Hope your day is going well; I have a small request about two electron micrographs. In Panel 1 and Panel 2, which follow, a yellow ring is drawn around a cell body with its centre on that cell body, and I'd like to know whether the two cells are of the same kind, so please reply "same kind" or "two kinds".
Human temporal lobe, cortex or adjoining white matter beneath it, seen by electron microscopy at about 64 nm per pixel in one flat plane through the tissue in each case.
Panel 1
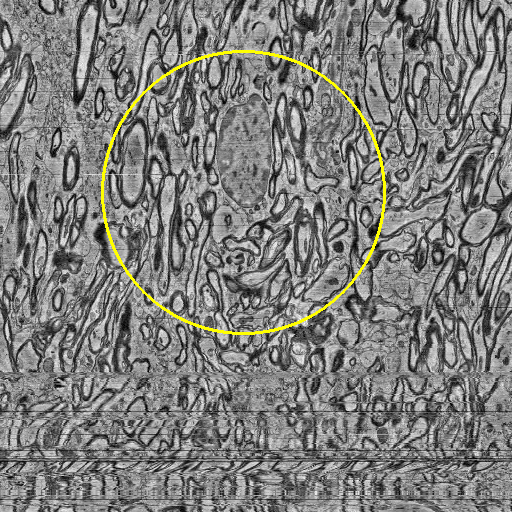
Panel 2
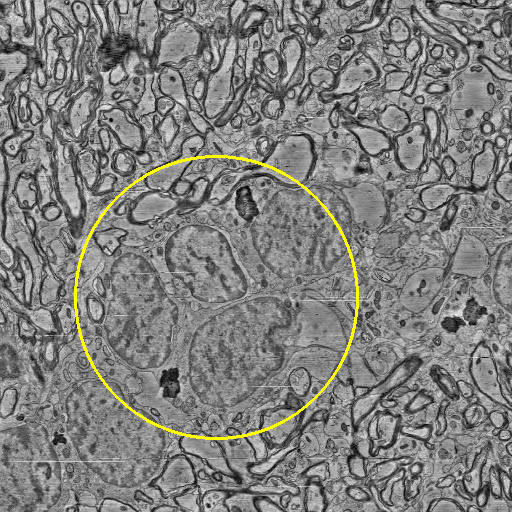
same kind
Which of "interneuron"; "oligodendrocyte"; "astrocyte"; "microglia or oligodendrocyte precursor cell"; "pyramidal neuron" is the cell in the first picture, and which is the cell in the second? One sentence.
Both the first and the second picture show a microglial cell or oligodendrocyte precursor cell in the ring.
